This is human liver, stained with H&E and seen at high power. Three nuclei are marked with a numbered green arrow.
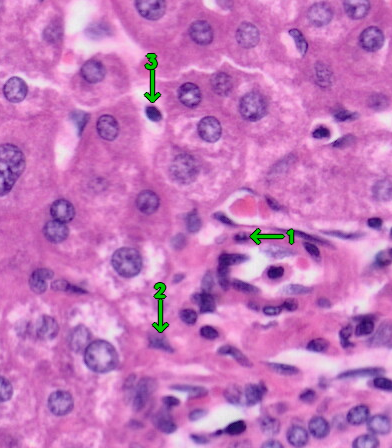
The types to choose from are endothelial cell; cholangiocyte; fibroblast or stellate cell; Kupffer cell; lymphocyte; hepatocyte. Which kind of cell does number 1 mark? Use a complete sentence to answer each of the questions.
The cell whose nucleus carries the number 1 is a fibroblast or stellate cell.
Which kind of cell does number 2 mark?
The cell pointed out as number 2 is a fibroblast or stellate cell.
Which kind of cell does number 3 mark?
The cell identified by number 3 is a lymphocyte.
